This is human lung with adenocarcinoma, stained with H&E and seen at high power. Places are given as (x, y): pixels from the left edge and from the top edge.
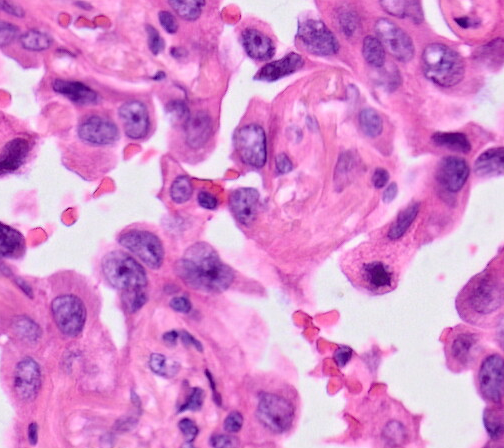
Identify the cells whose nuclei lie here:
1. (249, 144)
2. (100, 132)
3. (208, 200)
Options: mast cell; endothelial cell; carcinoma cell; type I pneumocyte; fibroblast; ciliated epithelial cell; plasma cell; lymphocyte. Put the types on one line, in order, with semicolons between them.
carcinoma cell; carcinoma cell; lymphocyte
